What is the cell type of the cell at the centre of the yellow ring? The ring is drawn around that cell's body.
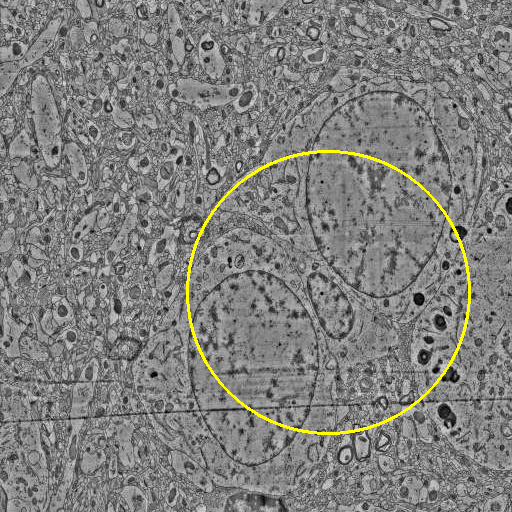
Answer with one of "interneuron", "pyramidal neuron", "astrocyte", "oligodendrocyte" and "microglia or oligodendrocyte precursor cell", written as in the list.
microglia or oligodendrocyte precursor cell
